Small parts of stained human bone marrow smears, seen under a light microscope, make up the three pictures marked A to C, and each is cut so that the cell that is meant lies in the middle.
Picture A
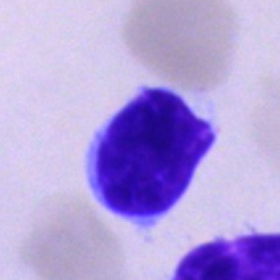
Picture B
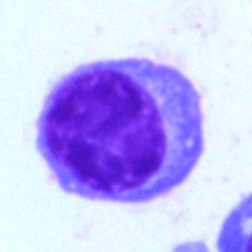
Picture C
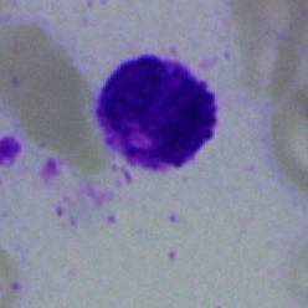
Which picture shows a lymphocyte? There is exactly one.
A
